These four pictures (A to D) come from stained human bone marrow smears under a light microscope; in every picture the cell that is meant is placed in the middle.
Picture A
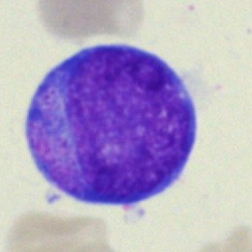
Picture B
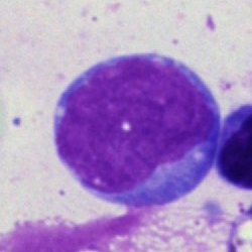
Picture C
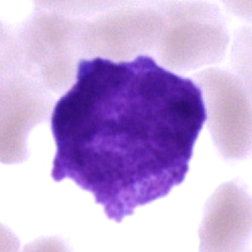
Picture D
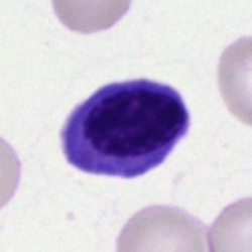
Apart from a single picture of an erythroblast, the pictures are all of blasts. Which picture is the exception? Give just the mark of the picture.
D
